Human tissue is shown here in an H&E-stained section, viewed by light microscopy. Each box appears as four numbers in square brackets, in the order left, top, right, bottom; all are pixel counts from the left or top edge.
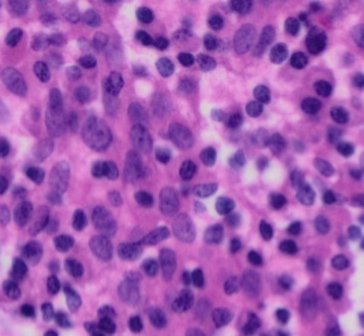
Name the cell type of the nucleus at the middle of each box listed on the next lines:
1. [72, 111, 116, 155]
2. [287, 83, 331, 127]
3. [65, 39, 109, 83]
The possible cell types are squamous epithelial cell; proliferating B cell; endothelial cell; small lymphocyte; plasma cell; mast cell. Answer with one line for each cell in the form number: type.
1: squamous epithelial cell
2: plasma cell
3: plasma cell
